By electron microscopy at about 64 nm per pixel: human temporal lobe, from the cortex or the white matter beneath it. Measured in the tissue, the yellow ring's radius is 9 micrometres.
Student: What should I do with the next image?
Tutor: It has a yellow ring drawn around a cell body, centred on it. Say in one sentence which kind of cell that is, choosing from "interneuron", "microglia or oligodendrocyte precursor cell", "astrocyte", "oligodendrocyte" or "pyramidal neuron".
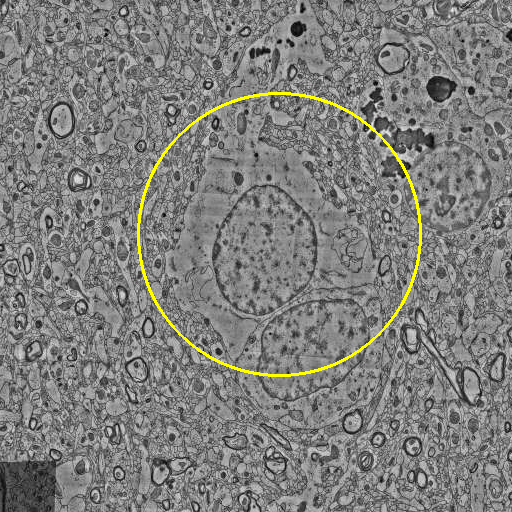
The ring's centre is occupied by an astrocyte.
